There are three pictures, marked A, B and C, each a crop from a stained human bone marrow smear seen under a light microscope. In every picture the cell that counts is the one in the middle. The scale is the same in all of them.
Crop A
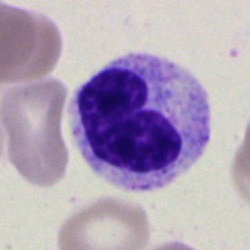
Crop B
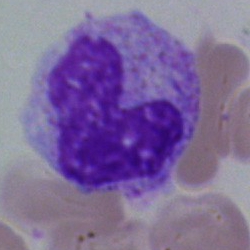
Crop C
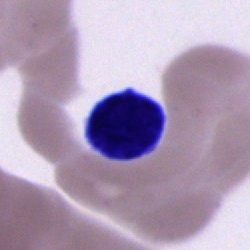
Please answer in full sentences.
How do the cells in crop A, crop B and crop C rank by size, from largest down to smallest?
From the largest down, the order is B, A, C.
